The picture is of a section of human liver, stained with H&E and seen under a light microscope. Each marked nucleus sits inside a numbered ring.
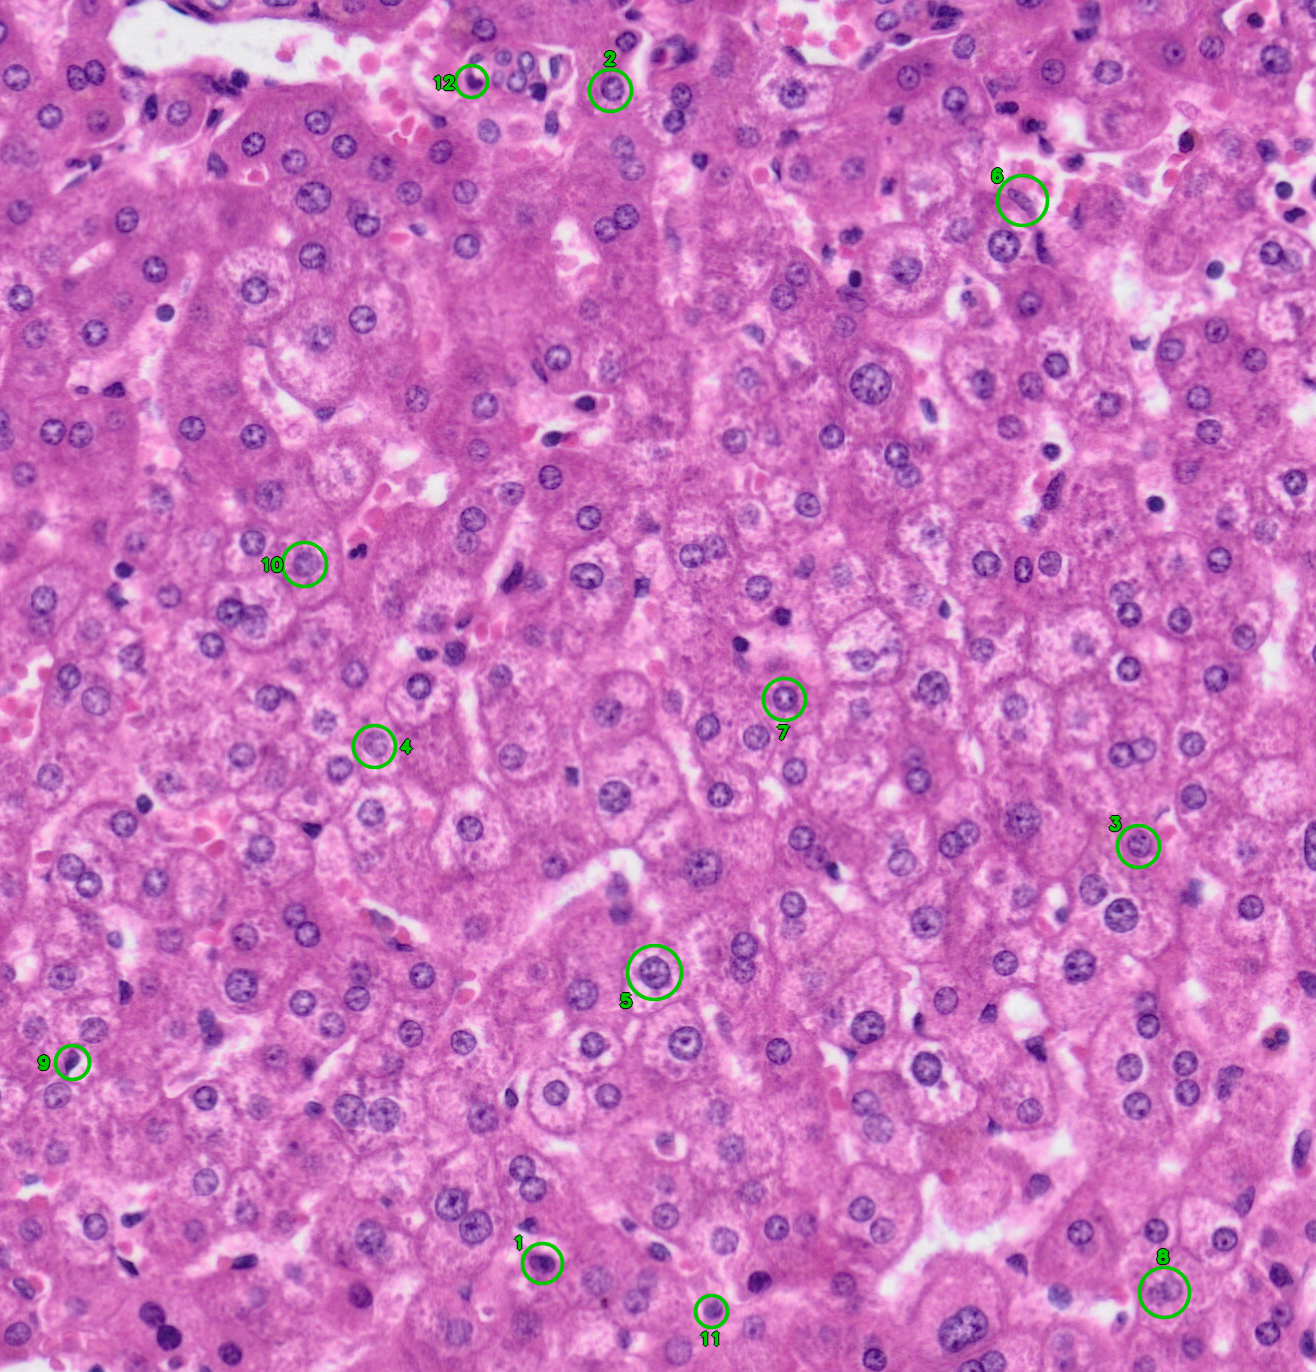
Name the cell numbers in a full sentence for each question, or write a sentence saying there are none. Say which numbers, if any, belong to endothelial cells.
No marked cell except number 9 is an endothelial cell.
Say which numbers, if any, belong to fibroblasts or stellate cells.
Of the marked cells, the one numbered 12 is a fibroblast or stellate cell and the rest are not.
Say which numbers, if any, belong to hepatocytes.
Here, the cells that carry numbers 2, 3, 4, 5, 7, 8 and 10 are hepatocytes.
